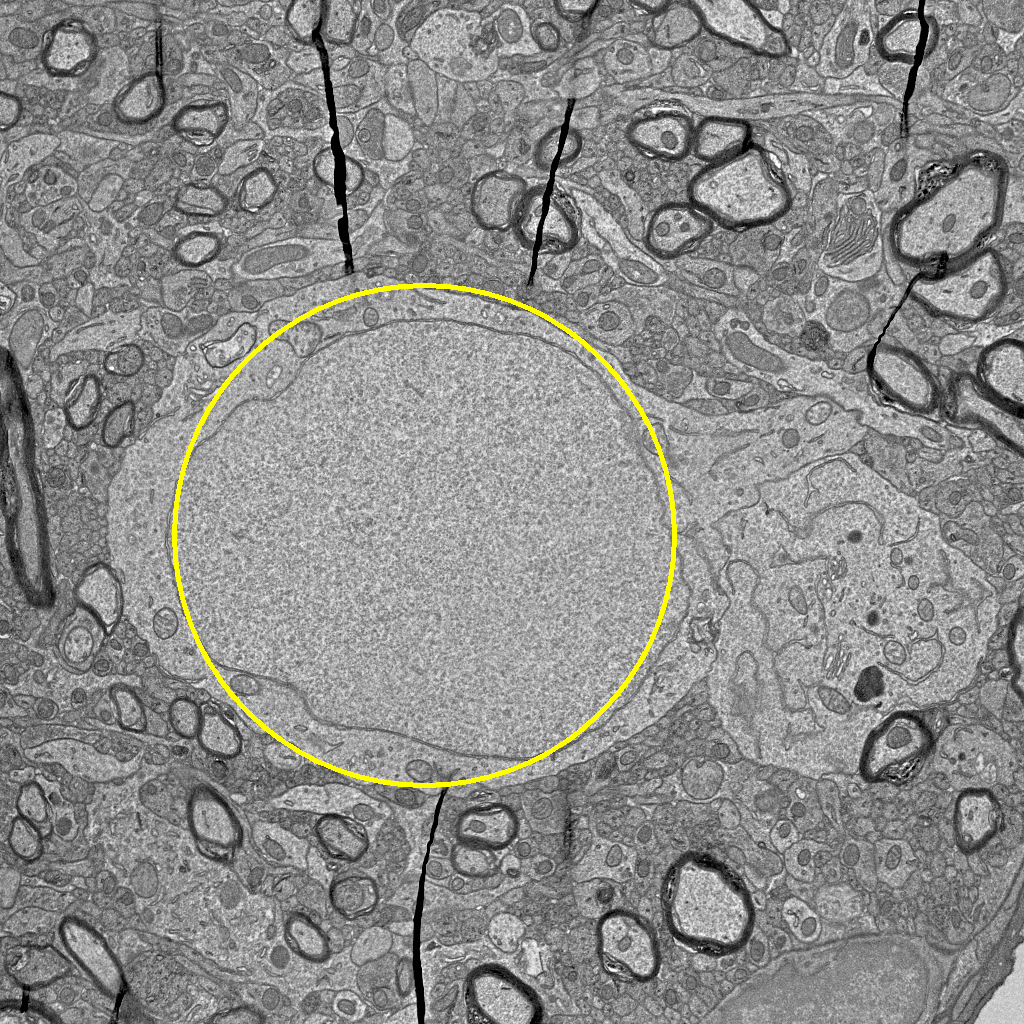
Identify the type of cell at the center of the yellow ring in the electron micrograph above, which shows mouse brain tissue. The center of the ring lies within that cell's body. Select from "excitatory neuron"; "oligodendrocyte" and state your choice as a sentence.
The center of the yellow ring lies in the body of an excitatory neuron.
